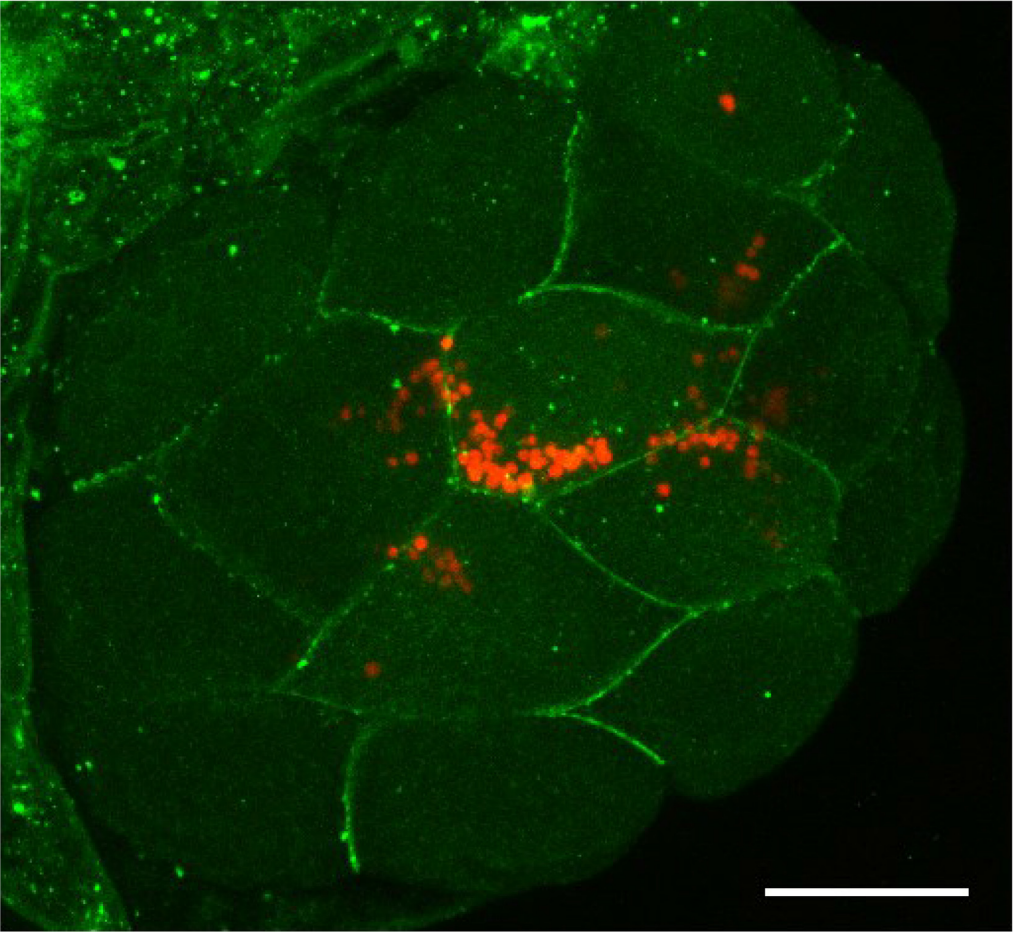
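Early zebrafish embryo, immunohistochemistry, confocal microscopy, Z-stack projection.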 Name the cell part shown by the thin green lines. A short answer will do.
Cell membranes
